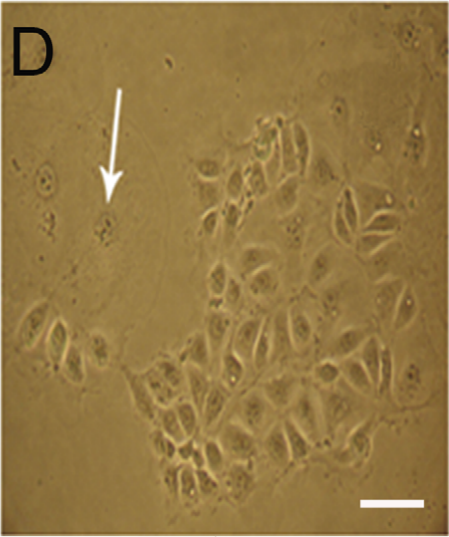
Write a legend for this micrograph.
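An epithelial-like cell culture shows a large colony of closely packed polygonal to oval cells with rounded nuclei on the right. To the left lies a giant cell, very large, flat and thin with a faint outline, many times the size of its neighbours, with a small granular nucleus.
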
